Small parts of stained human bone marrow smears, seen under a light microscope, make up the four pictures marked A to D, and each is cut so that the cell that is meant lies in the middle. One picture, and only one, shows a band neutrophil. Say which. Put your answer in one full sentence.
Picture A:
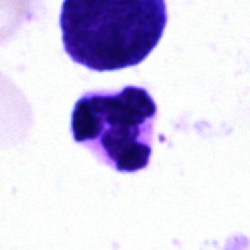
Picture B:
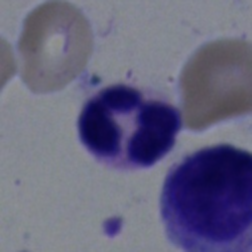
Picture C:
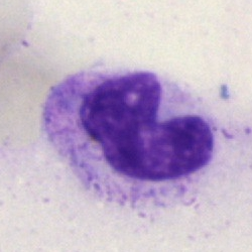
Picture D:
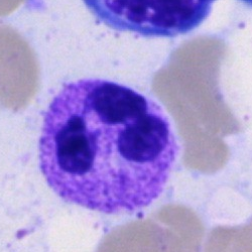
Picture C shows the band neutrophil.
